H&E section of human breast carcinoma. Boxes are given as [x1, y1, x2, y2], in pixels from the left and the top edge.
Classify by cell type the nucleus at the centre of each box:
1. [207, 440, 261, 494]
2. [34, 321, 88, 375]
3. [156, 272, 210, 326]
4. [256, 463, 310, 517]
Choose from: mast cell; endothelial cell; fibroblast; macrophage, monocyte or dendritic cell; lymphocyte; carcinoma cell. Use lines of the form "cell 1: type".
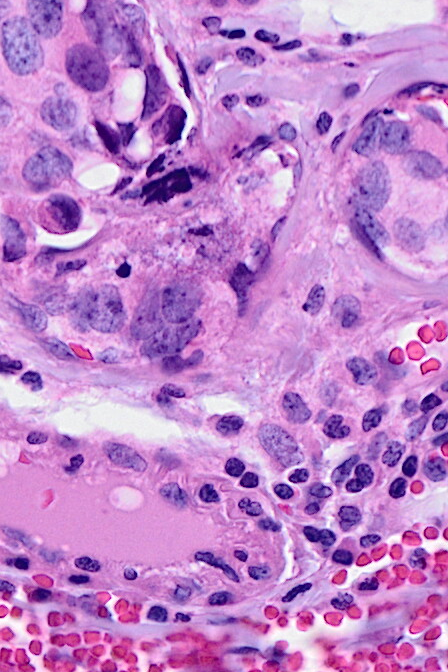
cell 1: lymphocyte
cell 2: endothelial cell
cell 3: carcinoma cell
cell 4: lymphocyte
